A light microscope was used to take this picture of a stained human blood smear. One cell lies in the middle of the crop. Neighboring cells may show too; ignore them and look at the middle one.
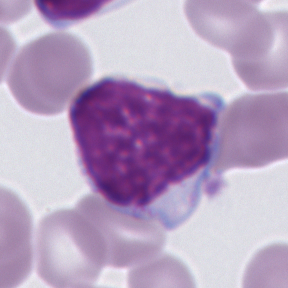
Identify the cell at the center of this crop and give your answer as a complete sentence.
The cell shown in the center of this light-microscope crop is a large granular lymphocyte.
